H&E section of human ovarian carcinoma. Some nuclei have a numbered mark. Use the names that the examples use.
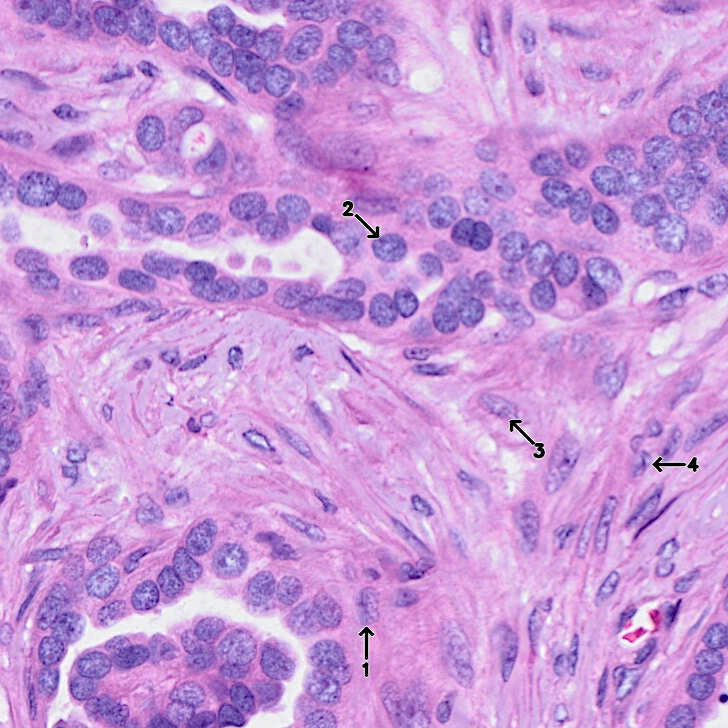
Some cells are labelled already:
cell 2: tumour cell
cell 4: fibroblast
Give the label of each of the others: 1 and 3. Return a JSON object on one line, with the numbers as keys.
{"1": "fibroblast", "3": "fibroblast"}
